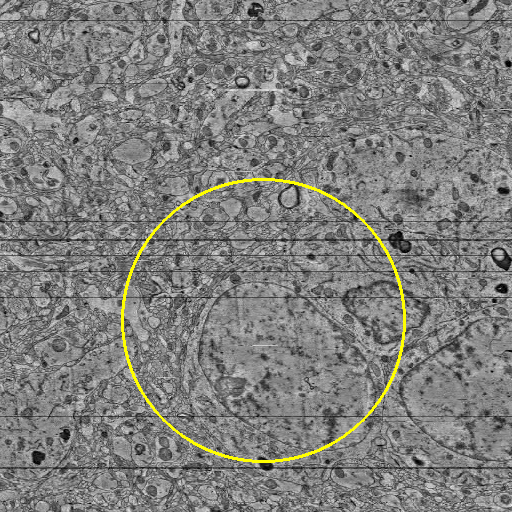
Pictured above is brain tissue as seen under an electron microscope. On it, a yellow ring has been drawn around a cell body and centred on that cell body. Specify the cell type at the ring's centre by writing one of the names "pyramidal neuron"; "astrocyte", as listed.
pyramidal neuron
